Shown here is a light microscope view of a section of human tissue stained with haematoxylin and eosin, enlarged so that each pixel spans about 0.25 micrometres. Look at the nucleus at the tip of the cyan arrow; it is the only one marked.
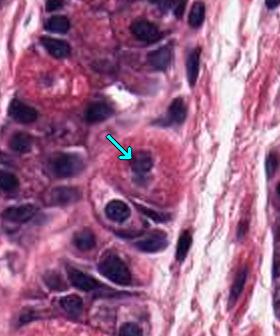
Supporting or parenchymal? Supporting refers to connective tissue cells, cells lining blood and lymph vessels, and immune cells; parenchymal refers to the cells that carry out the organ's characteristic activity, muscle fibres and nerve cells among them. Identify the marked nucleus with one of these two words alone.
parenchymal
